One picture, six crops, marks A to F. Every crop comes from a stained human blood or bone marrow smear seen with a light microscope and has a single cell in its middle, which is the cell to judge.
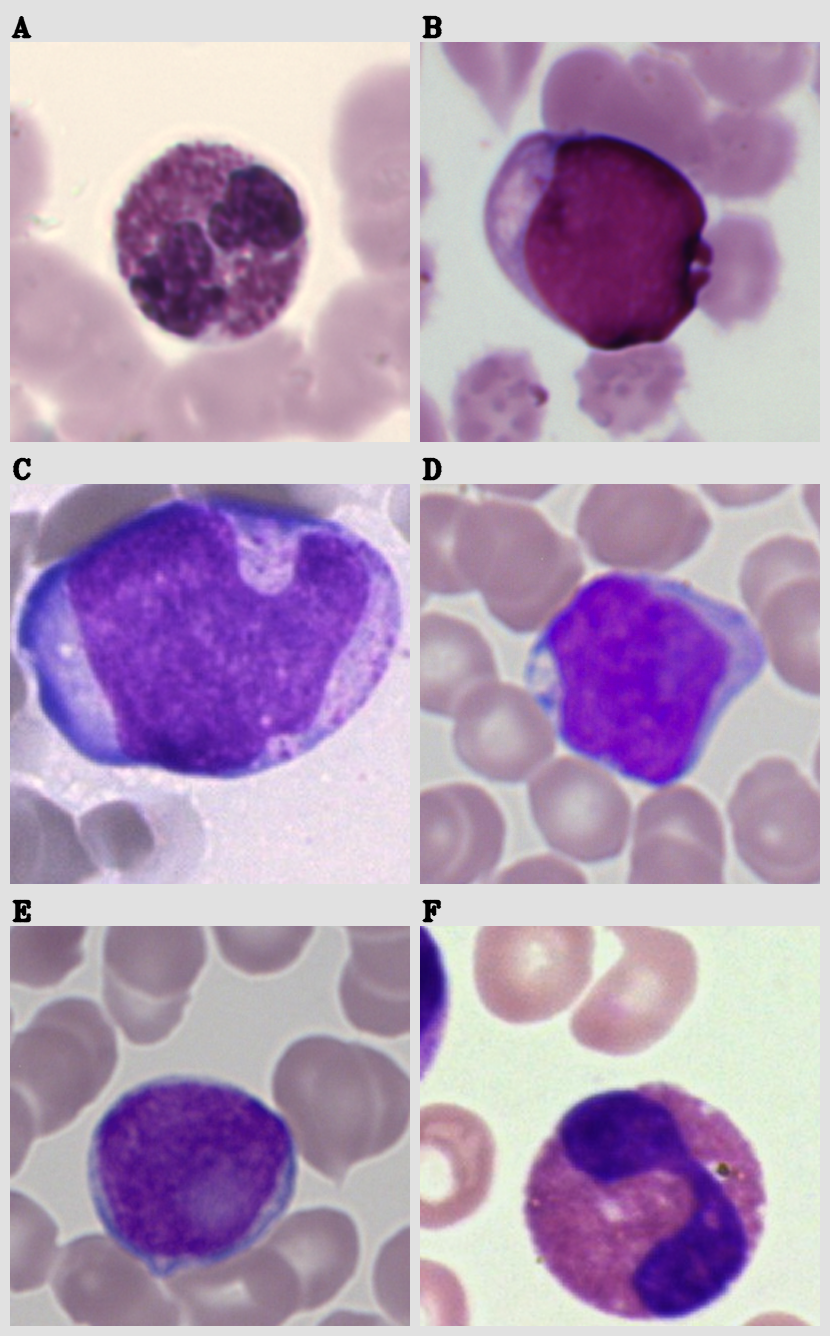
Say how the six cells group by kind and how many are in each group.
blast: 4
eosinophil: 2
